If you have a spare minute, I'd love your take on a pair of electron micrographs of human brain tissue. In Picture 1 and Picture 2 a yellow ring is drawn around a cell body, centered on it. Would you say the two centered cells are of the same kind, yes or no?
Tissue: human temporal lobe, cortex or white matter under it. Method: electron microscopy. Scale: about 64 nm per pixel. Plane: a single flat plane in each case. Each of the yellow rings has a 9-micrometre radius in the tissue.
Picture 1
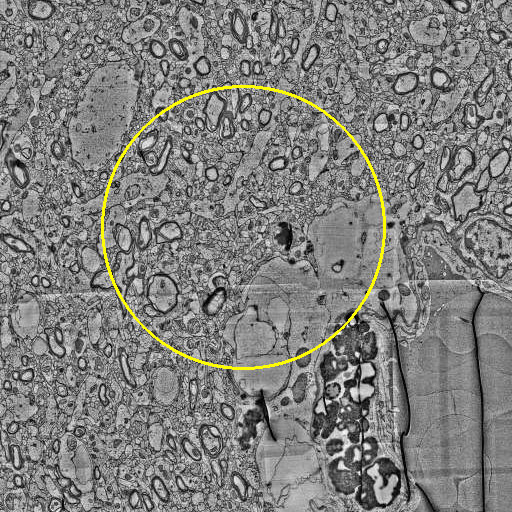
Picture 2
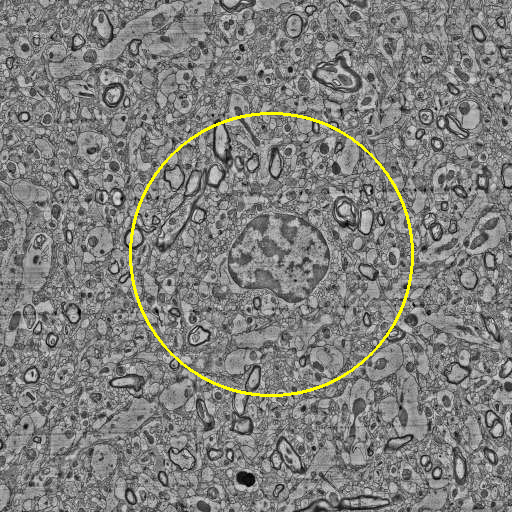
no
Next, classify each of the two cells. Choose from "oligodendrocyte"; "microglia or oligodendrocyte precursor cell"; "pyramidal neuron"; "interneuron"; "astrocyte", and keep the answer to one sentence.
In the first picture it is an oligodendrocyte; in the second it is a microglial cell or oligodendrocyte precursor cell.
